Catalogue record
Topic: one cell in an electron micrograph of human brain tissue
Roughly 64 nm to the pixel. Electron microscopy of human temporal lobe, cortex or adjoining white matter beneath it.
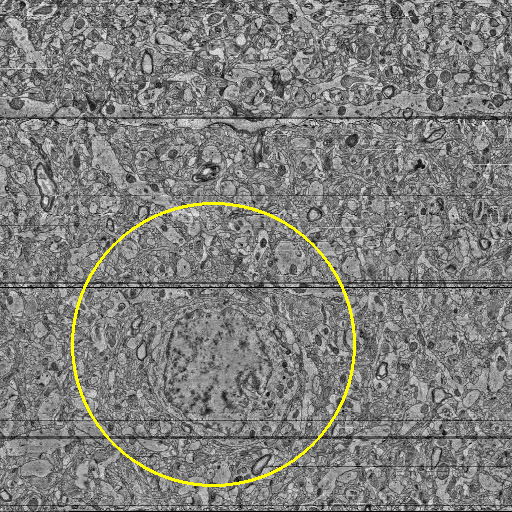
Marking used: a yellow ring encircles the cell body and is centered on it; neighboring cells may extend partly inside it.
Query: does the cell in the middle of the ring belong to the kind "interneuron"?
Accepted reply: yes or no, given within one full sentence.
Yes, the cell centered in the ring in the picture is of that kind.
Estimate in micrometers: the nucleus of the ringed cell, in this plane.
About 9 micrometres by about 7 micrometres in this plane.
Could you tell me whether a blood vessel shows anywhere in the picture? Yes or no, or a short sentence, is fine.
No, no vessel shows anywhere in the image.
